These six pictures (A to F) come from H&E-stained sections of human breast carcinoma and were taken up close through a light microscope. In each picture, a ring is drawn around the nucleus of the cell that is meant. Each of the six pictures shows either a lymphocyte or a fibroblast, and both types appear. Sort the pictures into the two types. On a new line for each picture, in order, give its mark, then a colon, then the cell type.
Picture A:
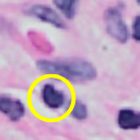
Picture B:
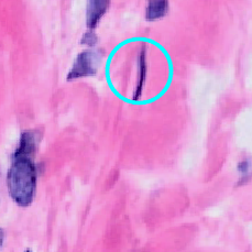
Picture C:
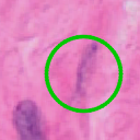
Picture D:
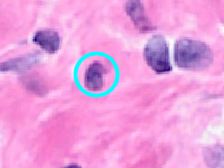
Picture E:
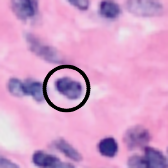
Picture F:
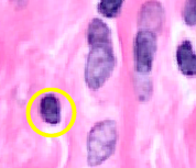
A: lymphocyte
B: fibroblast
C: fibroblast
D: lymphocyte
E: lymphocyte
F: lymphocyte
